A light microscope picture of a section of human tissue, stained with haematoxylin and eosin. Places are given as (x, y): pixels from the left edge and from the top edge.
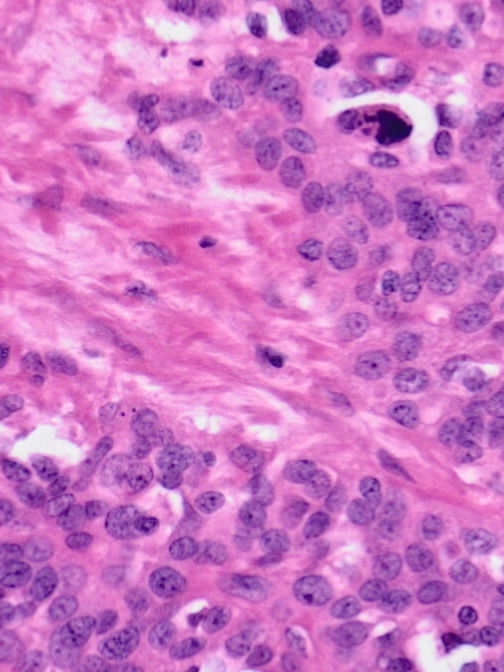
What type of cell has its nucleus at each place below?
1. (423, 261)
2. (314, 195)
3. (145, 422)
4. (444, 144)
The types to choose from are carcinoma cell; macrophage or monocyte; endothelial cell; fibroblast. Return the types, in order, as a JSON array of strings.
["carcinoma cell", "carcinoma cell", "carcinoma cell", "macrophage or monocyte"]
